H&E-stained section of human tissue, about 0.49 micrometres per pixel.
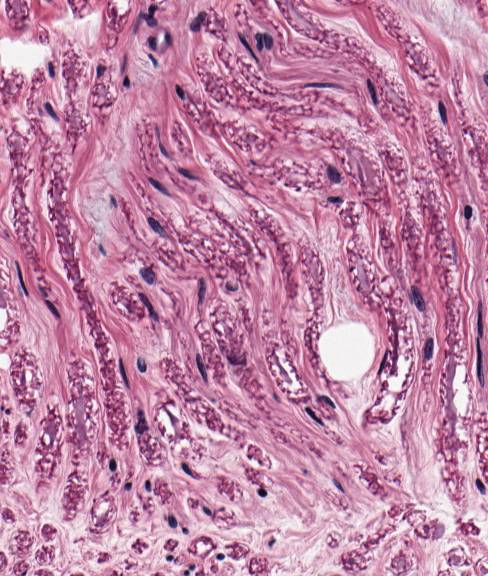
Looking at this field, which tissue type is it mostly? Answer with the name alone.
nerve fascicle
